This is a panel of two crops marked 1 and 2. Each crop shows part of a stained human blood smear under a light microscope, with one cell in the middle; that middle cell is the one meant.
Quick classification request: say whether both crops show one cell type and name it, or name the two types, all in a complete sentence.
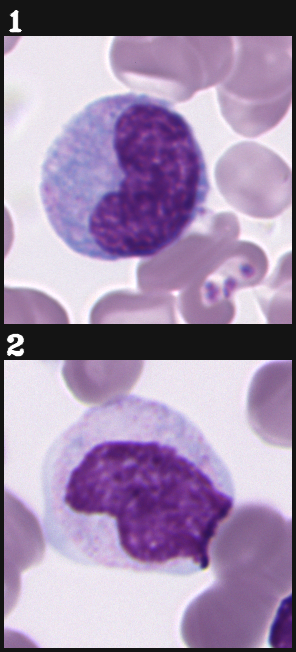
No, crop 1 is where a monocyte is shown, and crop 2 is where a metamyelocyte is shown.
